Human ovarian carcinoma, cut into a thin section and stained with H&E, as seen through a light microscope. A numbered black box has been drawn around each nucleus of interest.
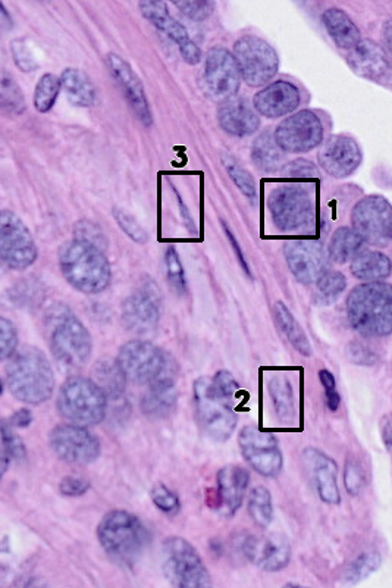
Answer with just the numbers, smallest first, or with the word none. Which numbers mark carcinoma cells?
1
